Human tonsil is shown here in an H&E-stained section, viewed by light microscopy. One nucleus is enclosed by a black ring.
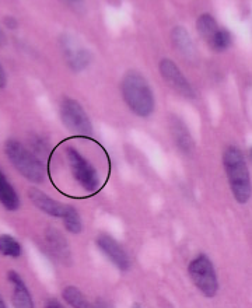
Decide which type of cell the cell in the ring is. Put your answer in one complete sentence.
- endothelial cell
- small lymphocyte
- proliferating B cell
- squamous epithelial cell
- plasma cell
Right, so the cell in the ring is a squamous epithelial cell, to answer that.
